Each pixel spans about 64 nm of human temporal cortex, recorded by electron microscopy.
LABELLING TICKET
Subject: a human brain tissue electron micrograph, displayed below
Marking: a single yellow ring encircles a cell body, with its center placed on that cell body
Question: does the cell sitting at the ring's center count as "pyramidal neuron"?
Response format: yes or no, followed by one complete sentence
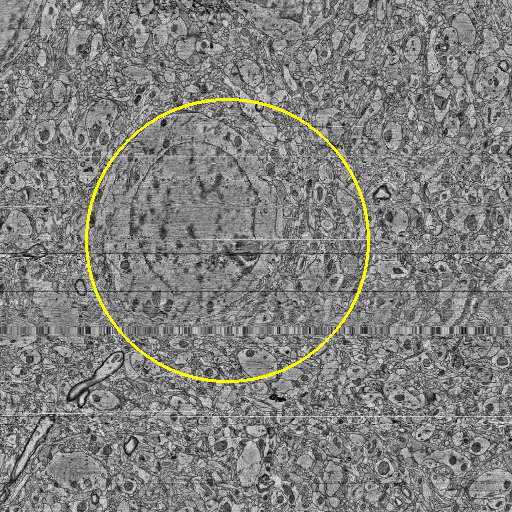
Yes, the cell at the center of the ring in the picture is of that kind.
